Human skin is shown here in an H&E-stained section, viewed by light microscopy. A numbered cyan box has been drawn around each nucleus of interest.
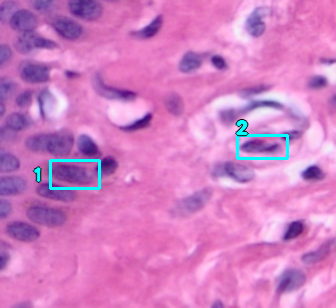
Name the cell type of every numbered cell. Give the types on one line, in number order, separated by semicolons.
basal keratinocyte; endothelial cell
